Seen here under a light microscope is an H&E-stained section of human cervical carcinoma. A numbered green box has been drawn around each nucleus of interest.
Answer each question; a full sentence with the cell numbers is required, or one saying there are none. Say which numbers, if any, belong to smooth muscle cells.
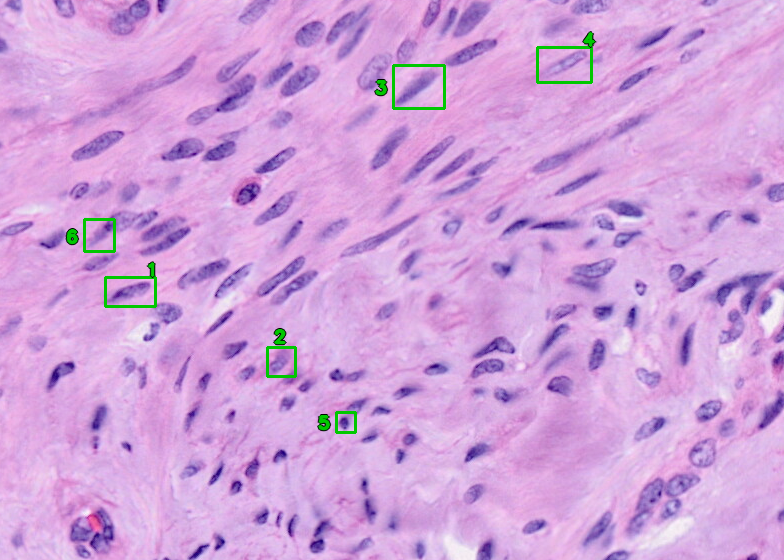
Identified as smooth muscle cells are the cells numbered 2 and 4.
